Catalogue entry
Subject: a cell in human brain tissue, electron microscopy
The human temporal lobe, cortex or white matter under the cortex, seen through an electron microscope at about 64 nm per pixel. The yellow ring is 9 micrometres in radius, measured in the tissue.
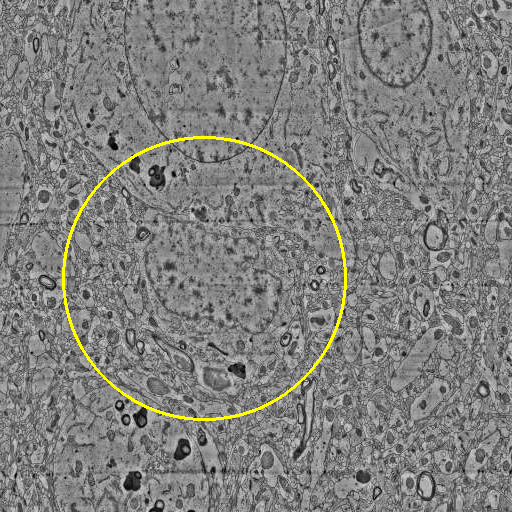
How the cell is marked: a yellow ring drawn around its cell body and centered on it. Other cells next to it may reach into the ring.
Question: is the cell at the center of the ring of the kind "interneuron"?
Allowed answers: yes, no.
yes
